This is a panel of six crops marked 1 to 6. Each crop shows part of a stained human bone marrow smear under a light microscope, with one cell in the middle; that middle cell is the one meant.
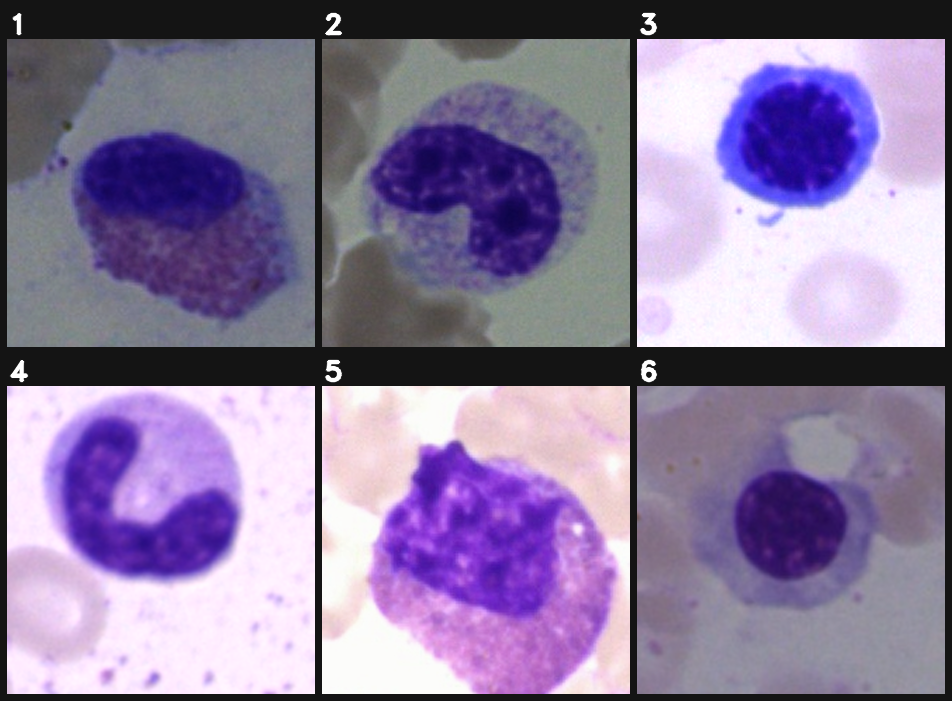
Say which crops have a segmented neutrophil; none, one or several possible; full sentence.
The middle cell is not a segmented neutrophil in any of the crops.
